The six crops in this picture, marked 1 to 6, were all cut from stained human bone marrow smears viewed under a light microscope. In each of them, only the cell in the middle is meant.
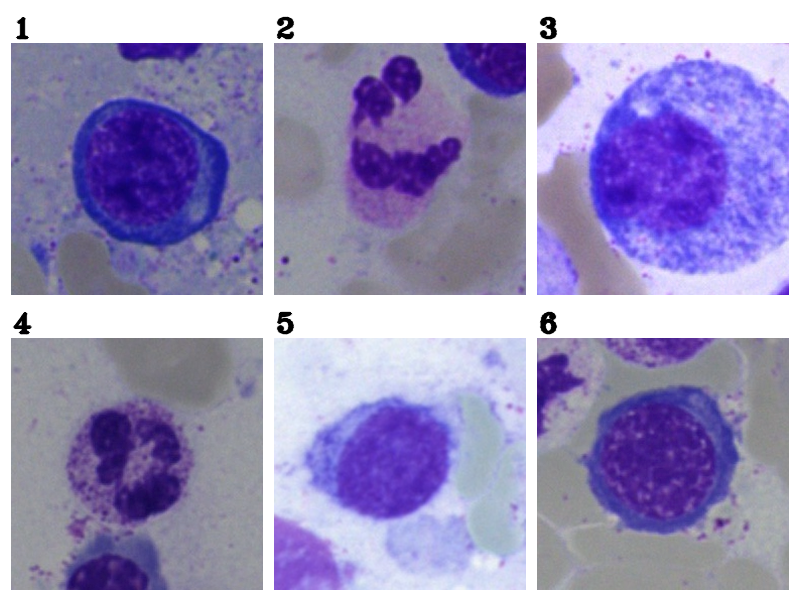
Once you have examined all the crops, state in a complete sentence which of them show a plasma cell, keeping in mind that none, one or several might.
There is not one crop in the group that shows a plasma cell.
